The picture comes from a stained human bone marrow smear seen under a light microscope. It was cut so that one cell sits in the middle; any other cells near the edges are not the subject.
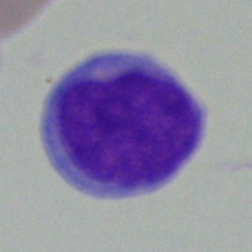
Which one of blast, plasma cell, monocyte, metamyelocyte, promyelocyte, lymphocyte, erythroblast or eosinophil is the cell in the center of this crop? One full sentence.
The cell of interest, located centrally, is a blast.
